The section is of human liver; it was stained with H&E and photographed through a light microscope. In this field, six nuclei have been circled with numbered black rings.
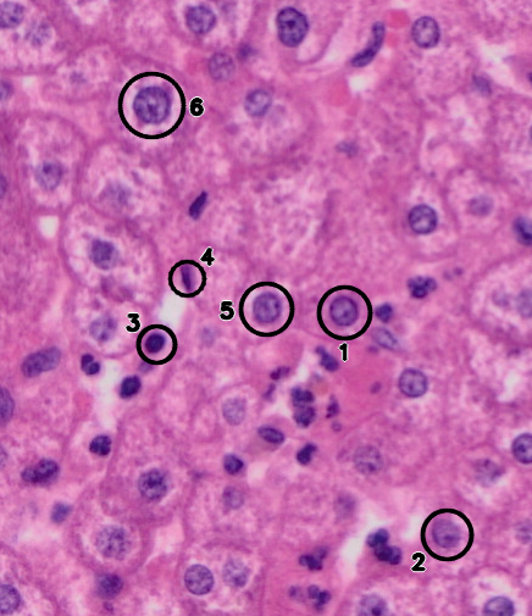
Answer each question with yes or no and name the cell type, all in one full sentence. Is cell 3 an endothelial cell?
No, the identification of cell 3 as an endothelial cell is incorrect; it is a lymphocyte.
